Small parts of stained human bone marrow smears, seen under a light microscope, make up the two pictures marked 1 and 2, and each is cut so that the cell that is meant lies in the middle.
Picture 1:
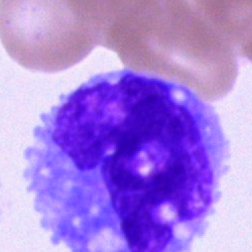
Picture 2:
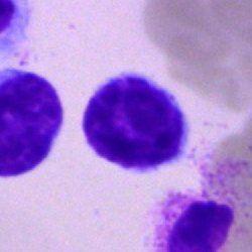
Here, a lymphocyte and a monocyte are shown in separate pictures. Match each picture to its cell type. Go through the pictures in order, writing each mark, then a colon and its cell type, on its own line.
1: monocyte
2: lymphocyte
